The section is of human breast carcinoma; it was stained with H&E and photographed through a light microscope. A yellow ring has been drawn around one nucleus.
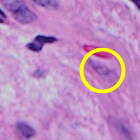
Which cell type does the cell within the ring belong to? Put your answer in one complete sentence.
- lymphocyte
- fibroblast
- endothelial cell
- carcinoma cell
This is an endothelial cell.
